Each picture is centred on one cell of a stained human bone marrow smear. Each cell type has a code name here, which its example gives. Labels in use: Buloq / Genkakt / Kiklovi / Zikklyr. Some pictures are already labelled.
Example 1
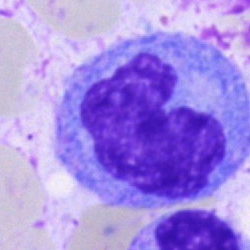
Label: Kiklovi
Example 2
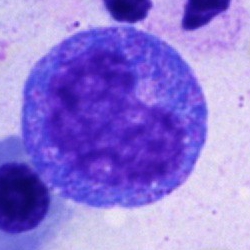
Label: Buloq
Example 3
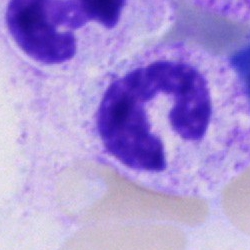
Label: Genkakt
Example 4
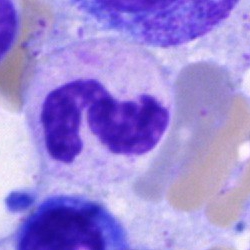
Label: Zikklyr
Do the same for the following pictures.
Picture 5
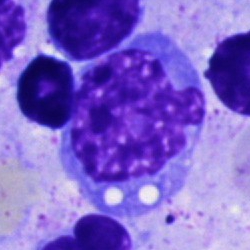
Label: Kiklovi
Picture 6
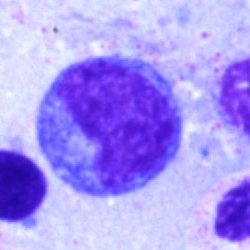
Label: Kiklovi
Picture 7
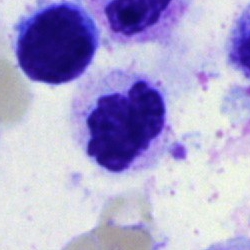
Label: Zikklyr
